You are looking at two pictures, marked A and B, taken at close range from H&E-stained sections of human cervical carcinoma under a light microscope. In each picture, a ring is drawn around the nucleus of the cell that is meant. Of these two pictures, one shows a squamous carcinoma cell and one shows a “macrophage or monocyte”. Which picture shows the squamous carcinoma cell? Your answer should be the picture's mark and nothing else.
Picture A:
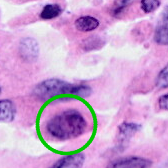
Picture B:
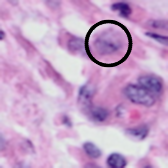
A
